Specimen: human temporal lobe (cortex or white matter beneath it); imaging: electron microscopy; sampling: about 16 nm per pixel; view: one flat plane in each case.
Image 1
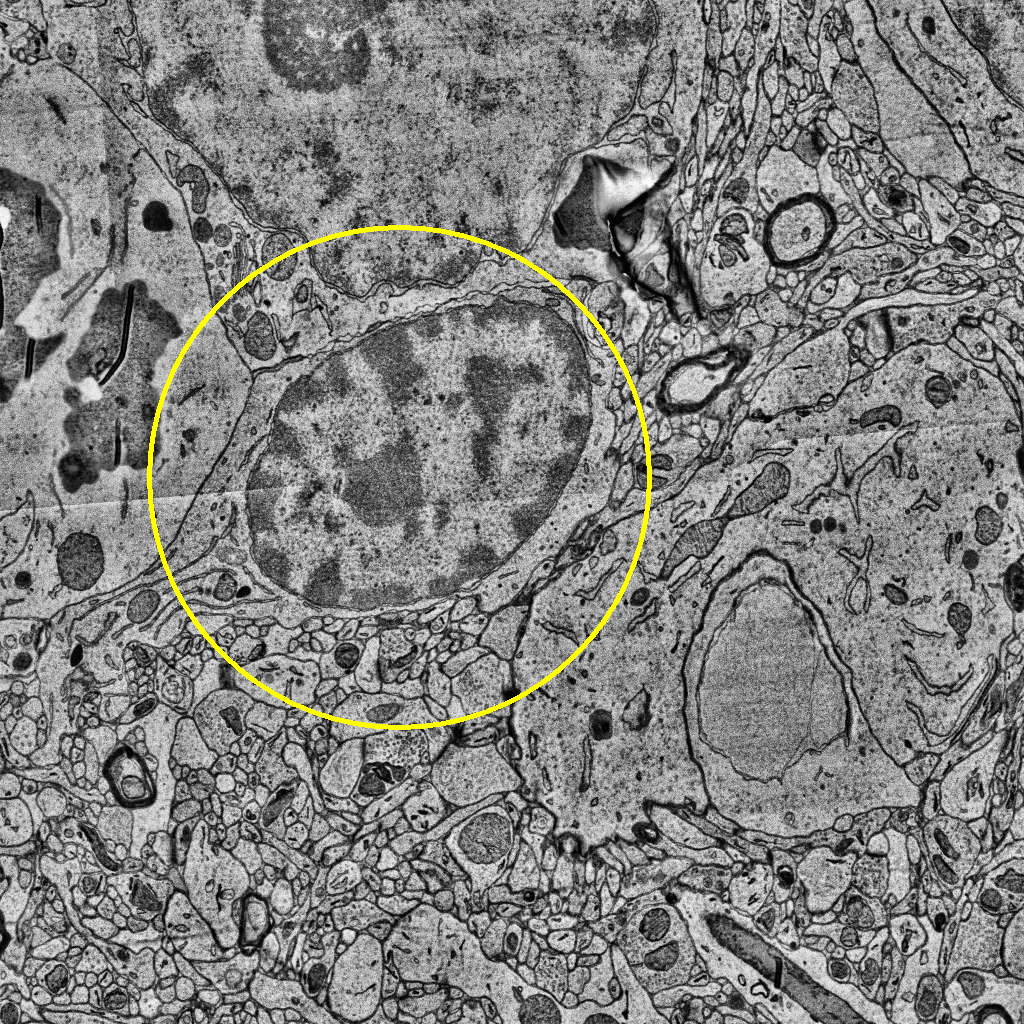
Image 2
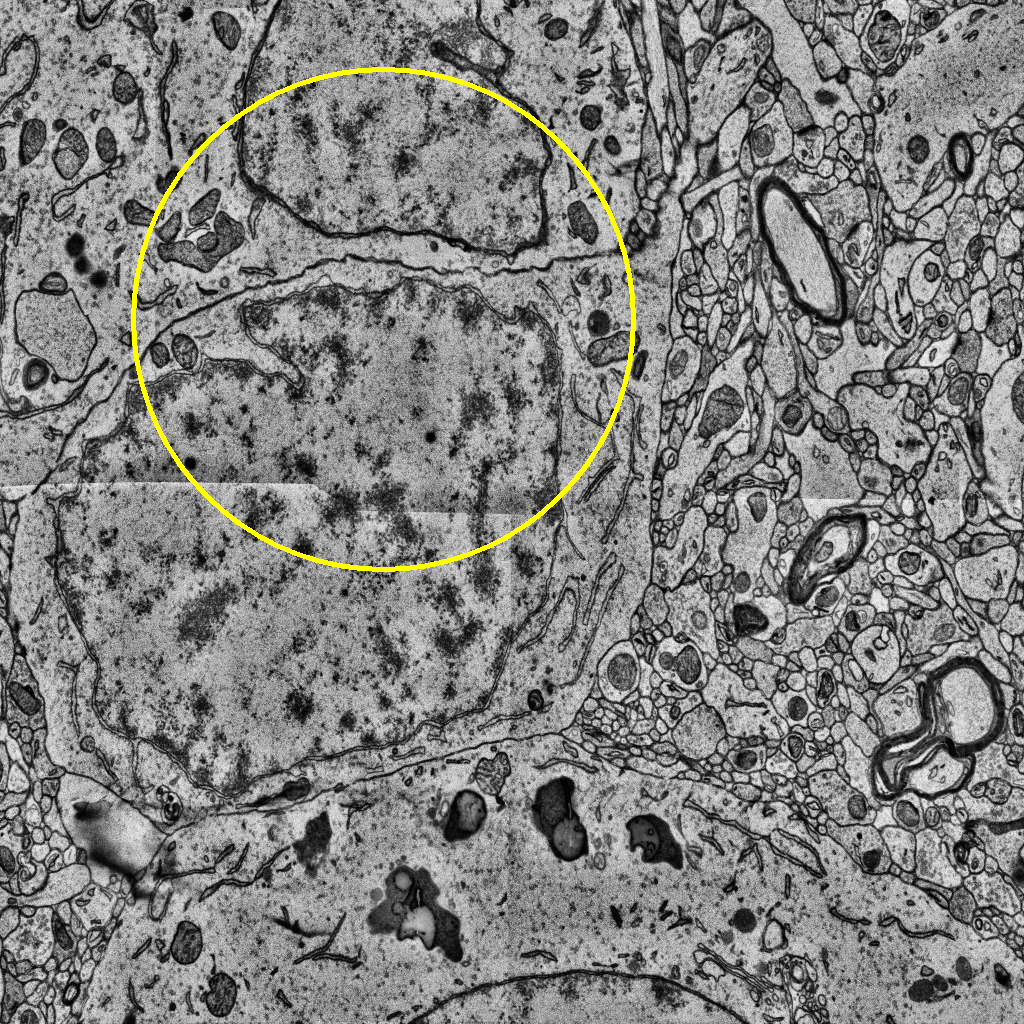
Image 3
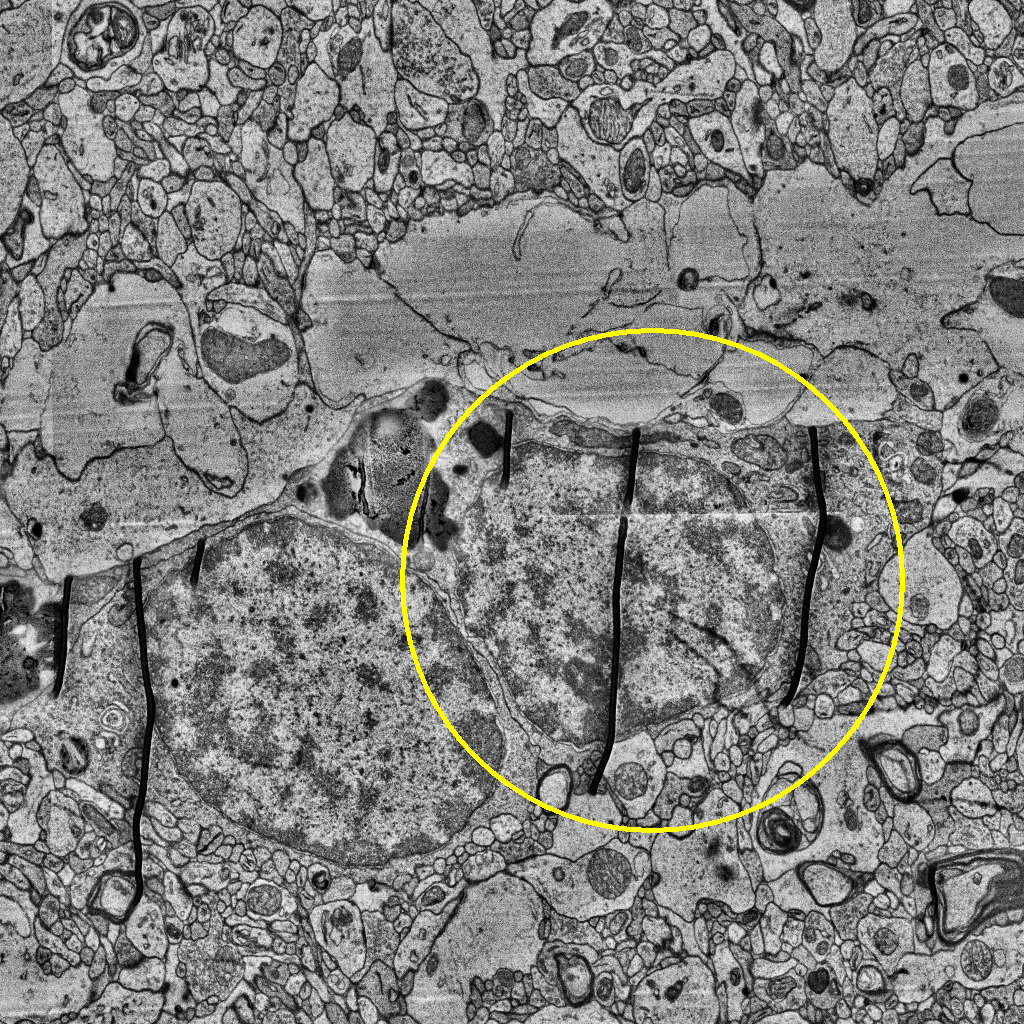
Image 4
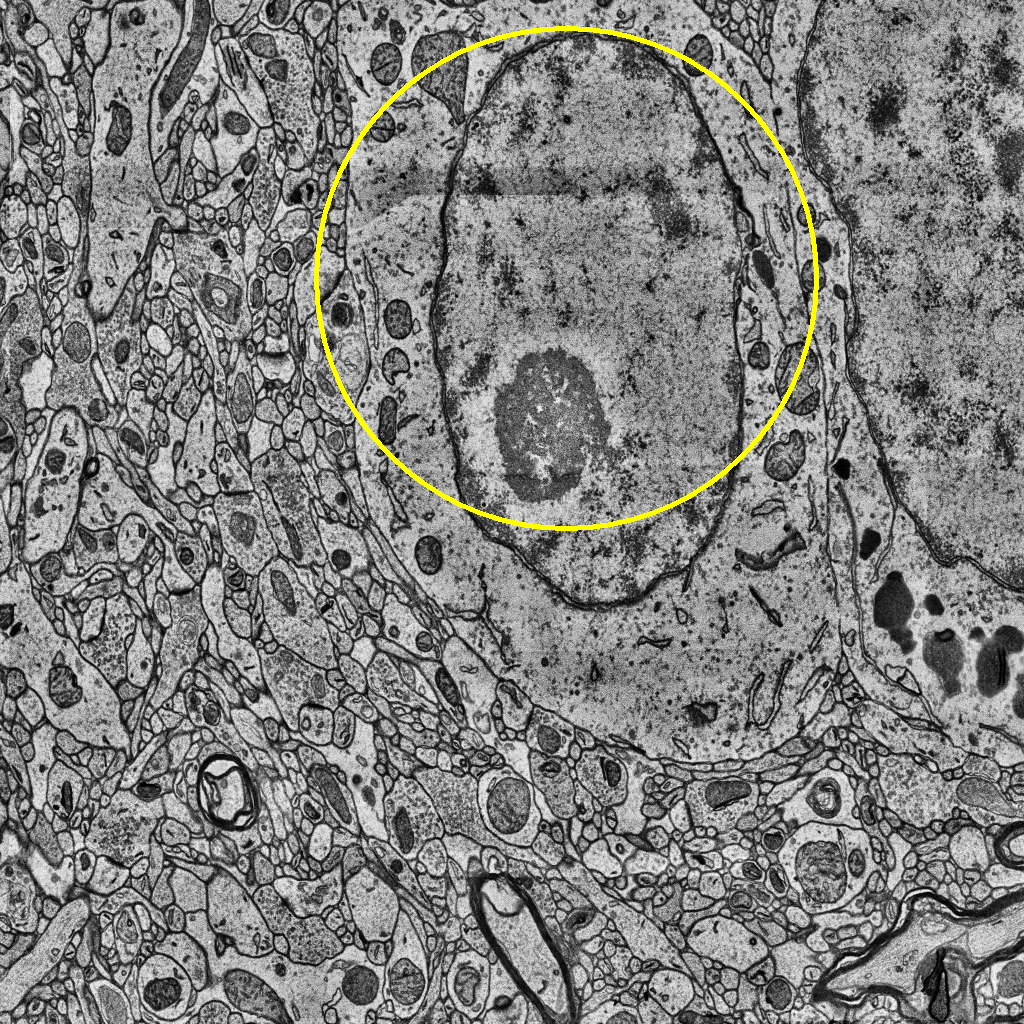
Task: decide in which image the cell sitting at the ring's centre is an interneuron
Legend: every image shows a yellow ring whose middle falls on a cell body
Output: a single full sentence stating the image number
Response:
In image 2, the cell at the middle of the ring is the match.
